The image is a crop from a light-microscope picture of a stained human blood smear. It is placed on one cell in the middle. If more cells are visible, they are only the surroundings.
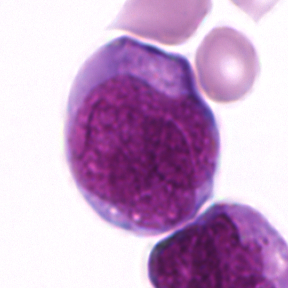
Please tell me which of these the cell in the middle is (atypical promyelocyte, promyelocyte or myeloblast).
atypical promyelocyte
